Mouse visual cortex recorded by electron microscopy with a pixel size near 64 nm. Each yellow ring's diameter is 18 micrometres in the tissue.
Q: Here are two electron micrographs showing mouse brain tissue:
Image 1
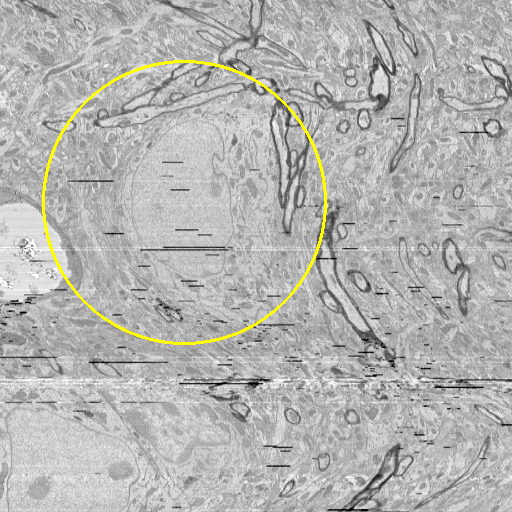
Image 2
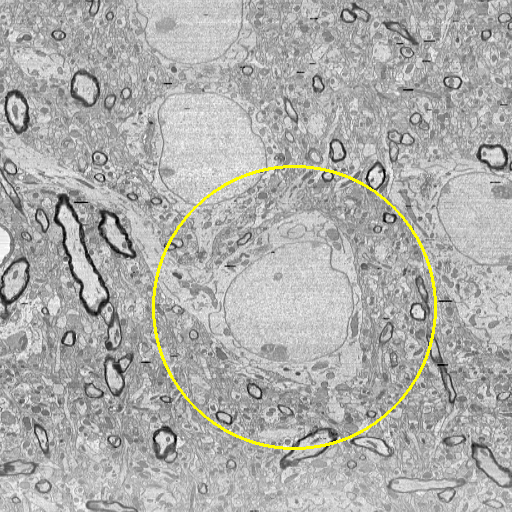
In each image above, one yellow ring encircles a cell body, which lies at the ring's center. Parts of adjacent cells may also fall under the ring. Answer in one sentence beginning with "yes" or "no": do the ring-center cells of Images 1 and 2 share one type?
Yes, in Images 1 and 2, the ring-center cells are both of one type.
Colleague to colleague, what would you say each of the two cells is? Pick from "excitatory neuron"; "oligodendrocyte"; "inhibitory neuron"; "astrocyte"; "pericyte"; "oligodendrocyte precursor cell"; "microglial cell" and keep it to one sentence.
Each of the two rings is centred on an excitatory neuron.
